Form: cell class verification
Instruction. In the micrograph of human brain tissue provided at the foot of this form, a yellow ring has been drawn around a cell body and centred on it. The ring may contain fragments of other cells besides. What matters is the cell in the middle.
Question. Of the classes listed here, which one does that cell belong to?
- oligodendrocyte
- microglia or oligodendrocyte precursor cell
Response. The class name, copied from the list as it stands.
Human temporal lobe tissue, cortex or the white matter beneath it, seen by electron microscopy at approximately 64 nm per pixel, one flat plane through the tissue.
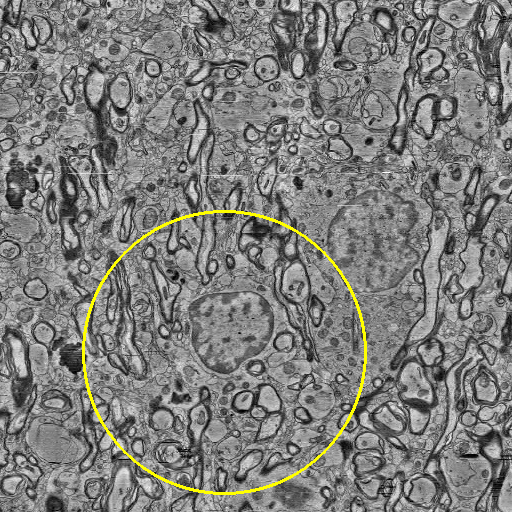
microglia or oligodendrocyte precursor cell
